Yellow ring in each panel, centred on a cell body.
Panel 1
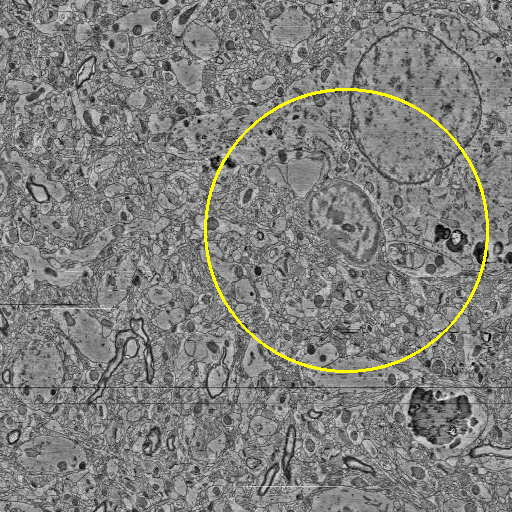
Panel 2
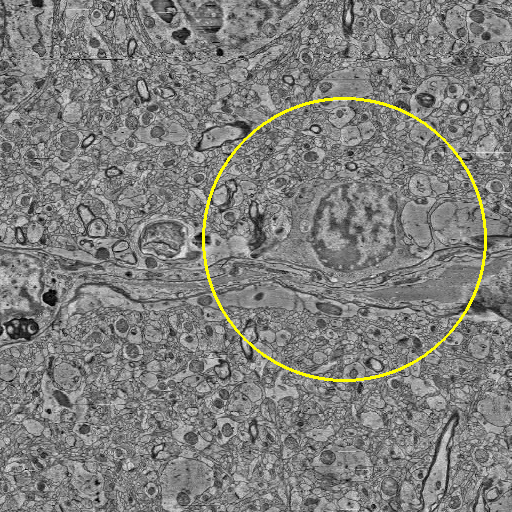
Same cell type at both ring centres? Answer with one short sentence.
Yes, both cells are of the same type.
